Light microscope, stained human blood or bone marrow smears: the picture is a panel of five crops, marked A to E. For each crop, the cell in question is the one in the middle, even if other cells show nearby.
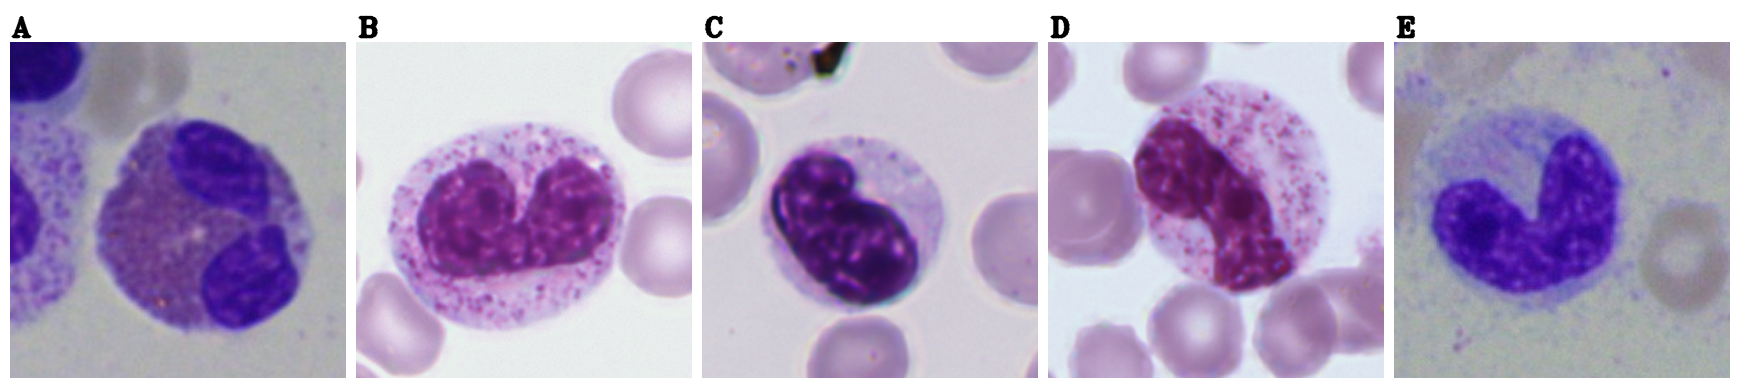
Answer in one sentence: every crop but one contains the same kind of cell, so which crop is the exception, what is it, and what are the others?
Among these crops, band neutrophils occur in all but crop A, which contains an eosinophil.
